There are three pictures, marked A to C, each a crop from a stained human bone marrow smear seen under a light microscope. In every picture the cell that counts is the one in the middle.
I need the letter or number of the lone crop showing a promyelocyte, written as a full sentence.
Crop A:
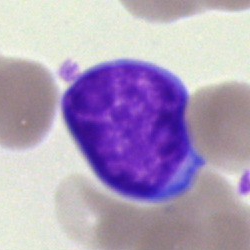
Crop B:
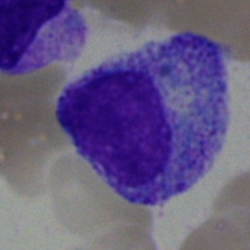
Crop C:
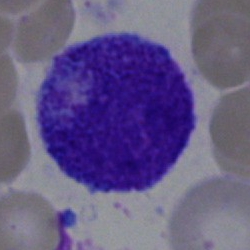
Crop C is the crop that shows a promyelocyte in its middle.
